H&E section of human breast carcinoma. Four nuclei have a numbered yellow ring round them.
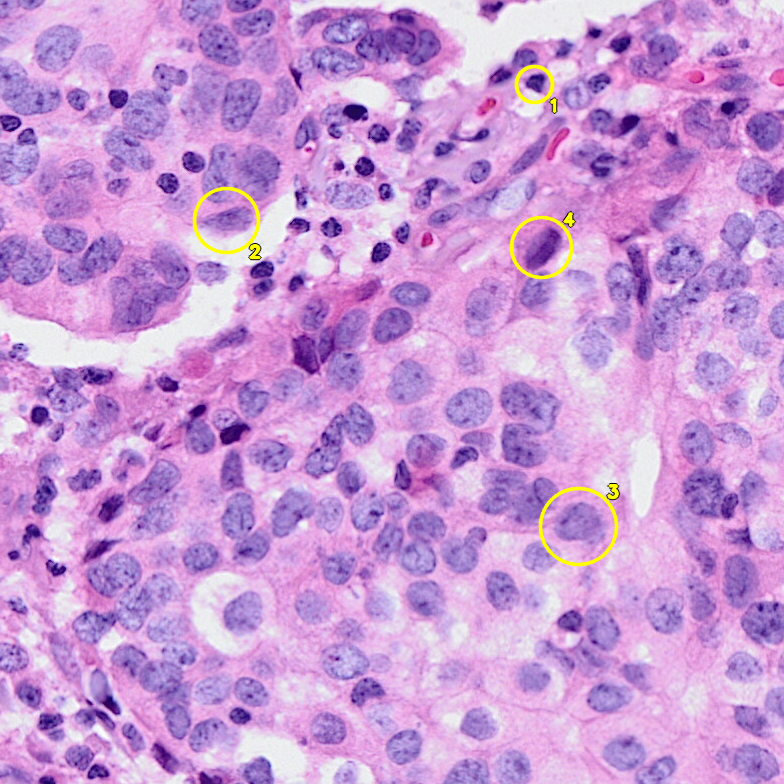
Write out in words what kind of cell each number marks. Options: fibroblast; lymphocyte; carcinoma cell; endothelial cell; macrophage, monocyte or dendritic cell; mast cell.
Cell 1 is a lymphocyte. Cells 2, 3 and 4 are carcinoma cells.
